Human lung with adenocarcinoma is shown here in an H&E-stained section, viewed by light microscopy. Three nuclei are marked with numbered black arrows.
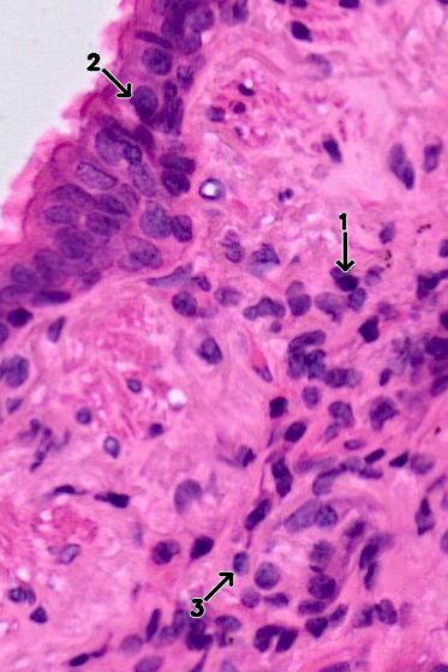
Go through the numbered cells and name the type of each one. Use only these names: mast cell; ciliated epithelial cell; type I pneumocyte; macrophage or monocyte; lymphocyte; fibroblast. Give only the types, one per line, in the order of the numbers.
lymphocyte
ciliated epithelial cell
lymphocyte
